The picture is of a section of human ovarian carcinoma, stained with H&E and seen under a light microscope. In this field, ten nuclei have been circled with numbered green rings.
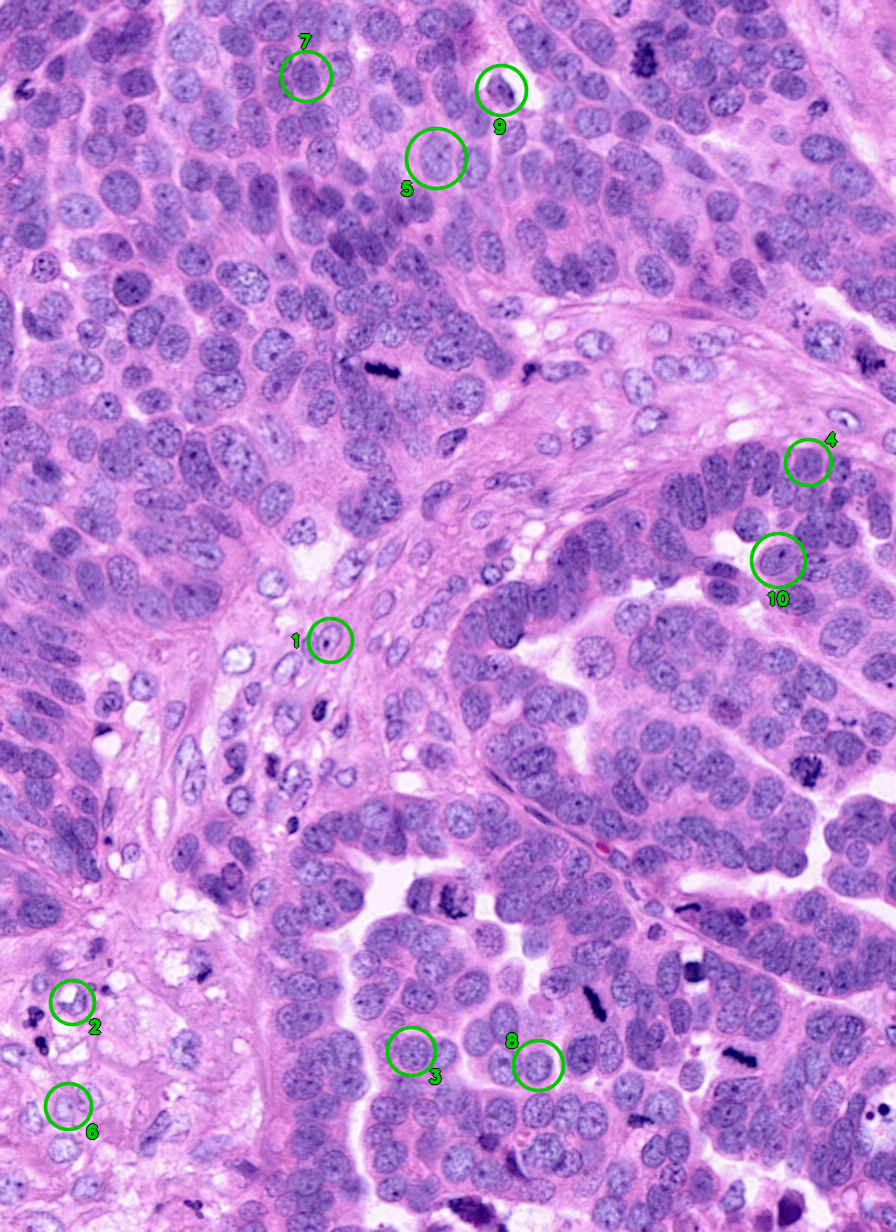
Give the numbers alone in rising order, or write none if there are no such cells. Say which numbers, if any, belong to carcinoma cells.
3, 4, 5, 7, 8, 10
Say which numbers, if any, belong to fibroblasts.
1, 2, 6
